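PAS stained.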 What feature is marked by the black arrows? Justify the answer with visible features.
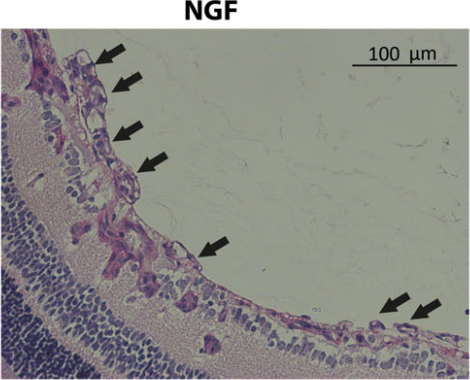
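The arrows point to a row of pink-outlined, nucleated clusters along the inner retinal surface. The clusters lie on the vitreous side of the innermost retinal layer. So: neovascular tufts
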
